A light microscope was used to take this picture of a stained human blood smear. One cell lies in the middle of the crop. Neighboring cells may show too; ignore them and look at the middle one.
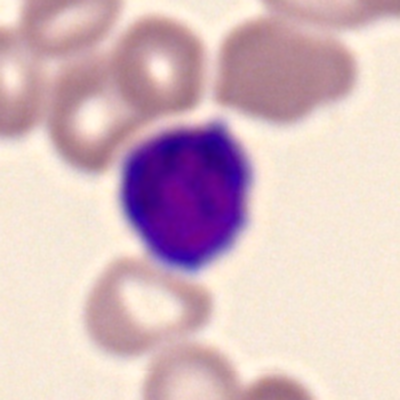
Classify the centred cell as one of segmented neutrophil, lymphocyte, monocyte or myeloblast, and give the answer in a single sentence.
In the middle of this smear crop is a lymphocyte.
